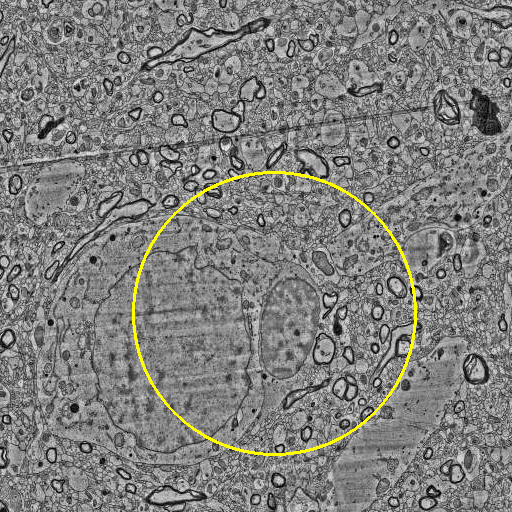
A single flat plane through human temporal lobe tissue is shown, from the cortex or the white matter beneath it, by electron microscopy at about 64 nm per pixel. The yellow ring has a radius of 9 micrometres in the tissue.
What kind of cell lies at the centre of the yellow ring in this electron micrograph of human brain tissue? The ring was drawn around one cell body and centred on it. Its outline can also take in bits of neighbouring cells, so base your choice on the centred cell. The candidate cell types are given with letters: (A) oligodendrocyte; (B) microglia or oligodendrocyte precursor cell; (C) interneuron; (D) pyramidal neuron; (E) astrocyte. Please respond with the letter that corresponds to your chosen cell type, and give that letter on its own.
A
